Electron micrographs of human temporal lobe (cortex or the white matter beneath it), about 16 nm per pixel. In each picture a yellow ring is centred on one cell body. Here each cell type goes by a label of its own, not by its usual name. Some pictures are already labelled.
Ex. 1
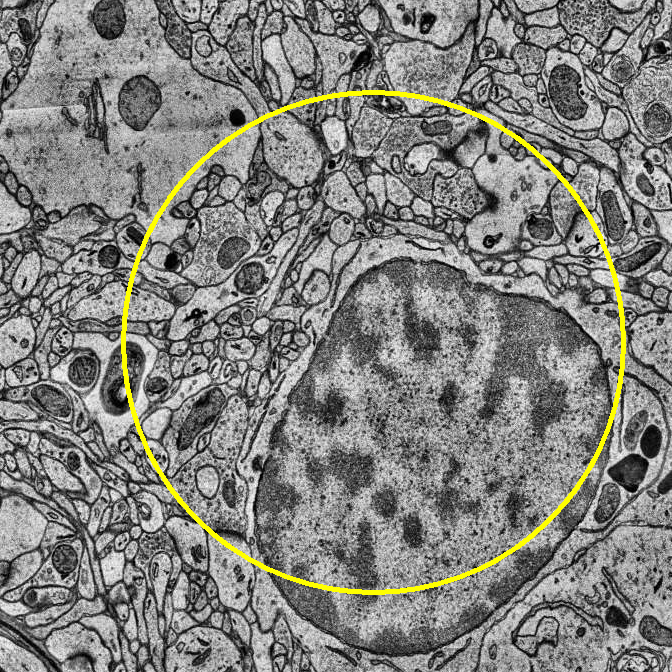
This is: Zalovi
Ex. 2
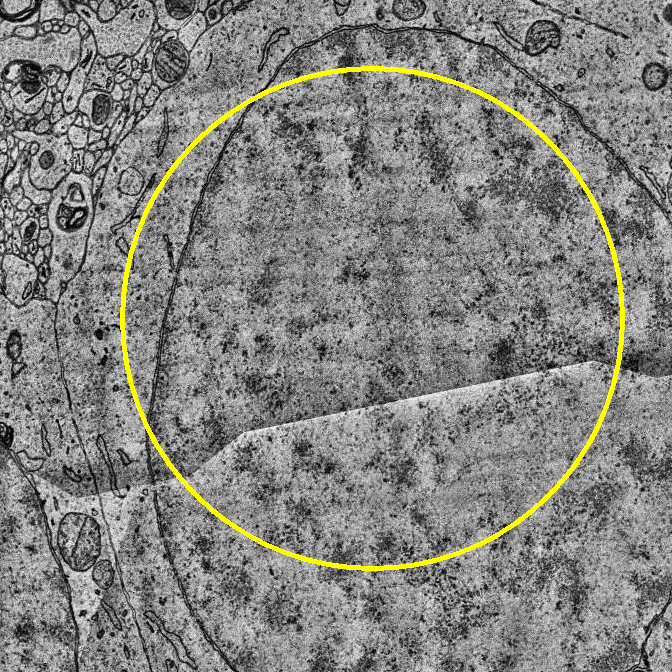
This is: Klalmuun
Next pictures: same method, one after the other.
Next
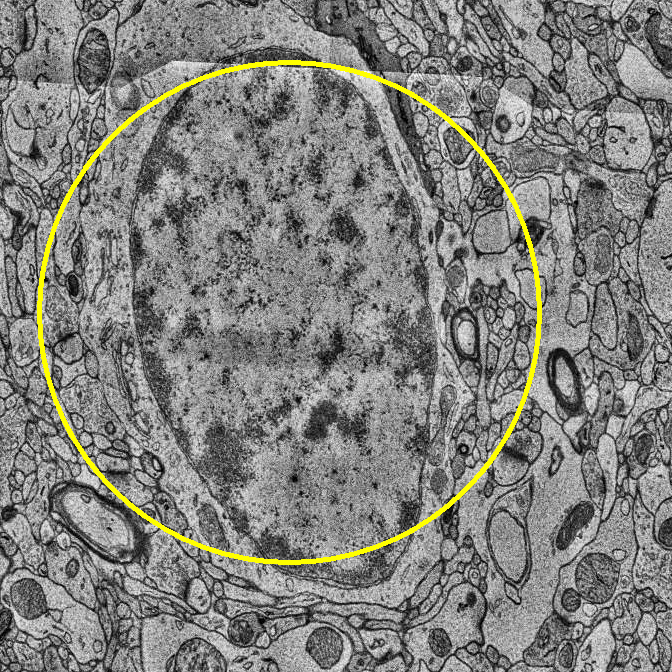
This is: Zalovi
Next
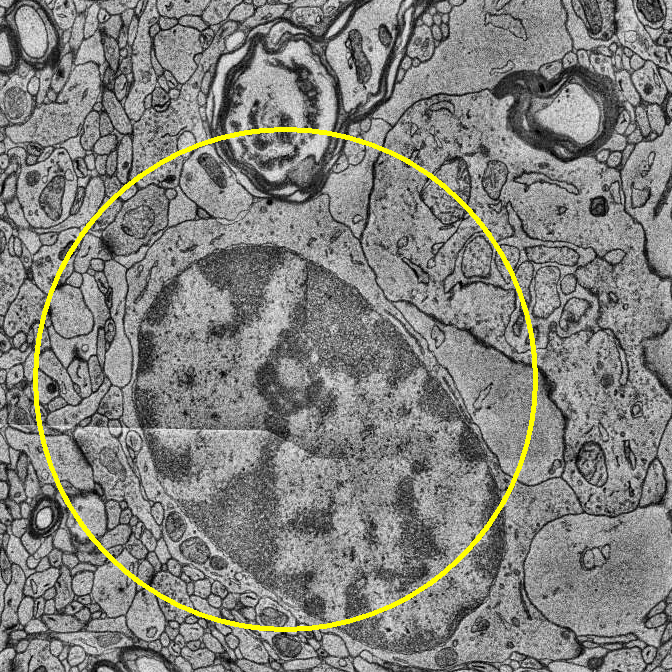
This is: Zalovi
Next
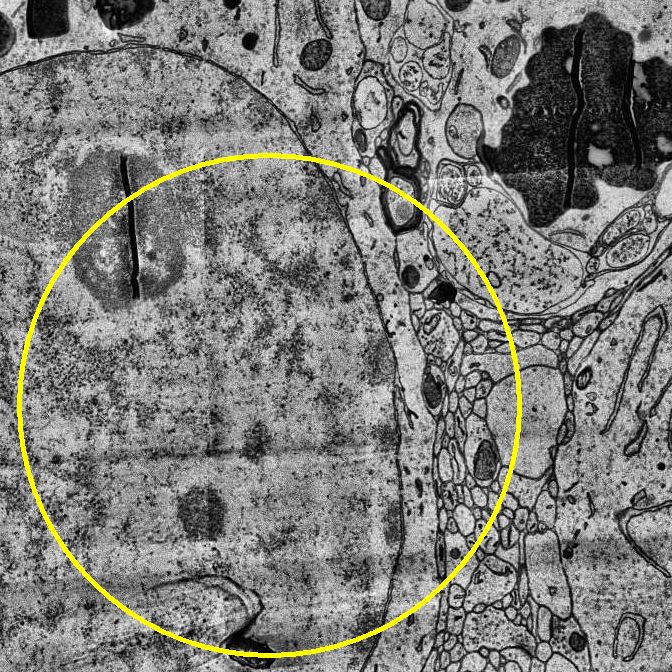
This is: Klalmuun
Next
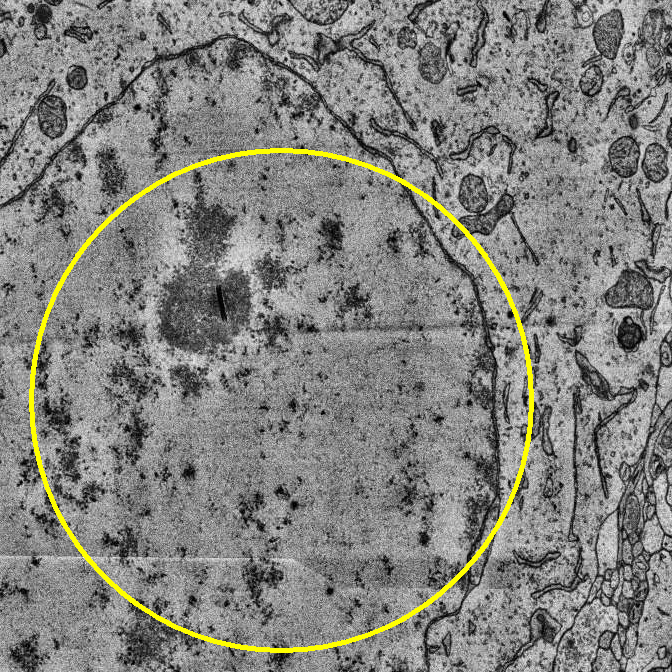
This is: Klalmuun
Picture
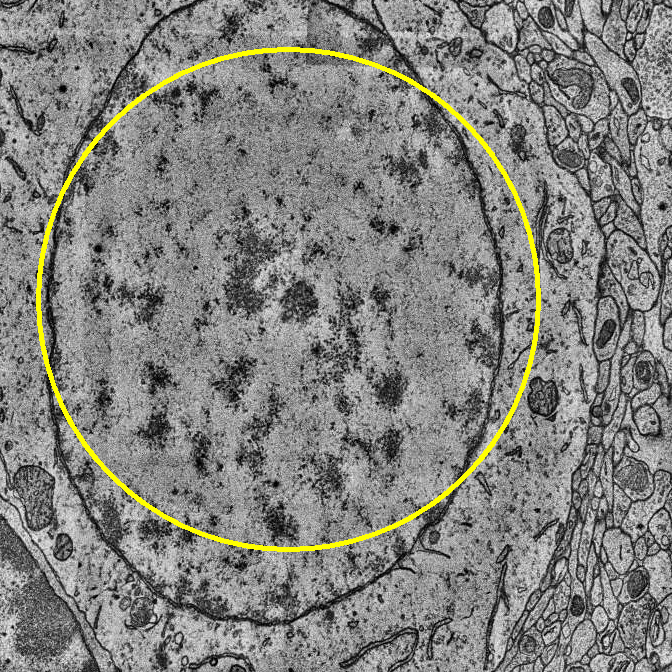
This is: Klalmuun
